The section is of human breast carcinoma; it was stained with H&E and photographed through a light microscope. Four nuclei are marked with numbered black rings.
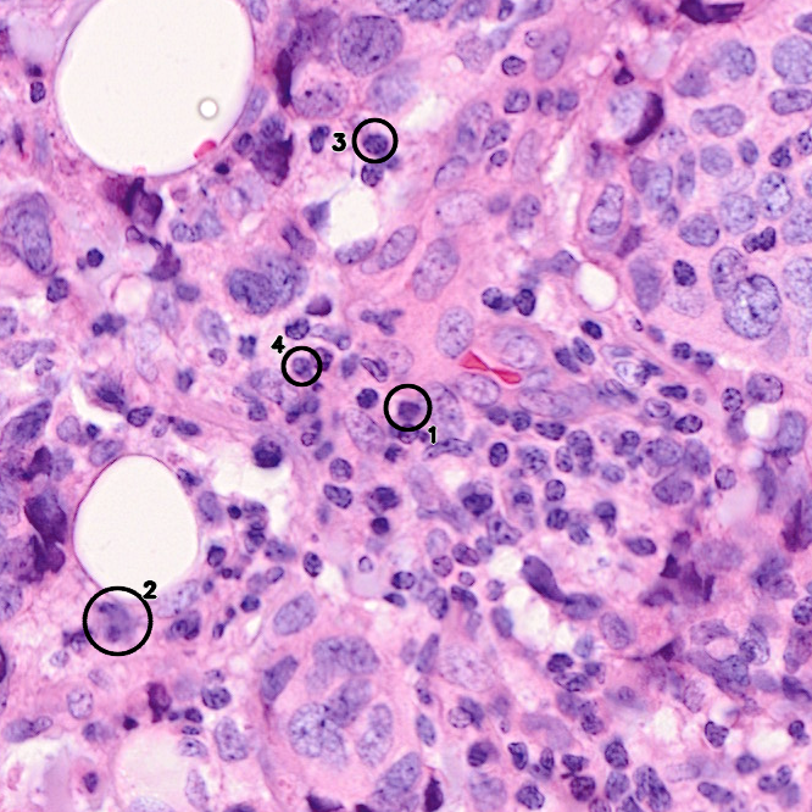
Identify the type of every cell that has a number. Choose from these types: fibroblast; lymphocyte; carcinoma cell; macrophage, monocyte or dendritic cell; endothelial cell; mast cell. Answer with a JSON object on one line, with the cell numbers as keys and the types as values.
{"1": "lymphocyte", "2": "carcinoma cell", "3": "lymphocyte", "4": "lymphocyte"}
